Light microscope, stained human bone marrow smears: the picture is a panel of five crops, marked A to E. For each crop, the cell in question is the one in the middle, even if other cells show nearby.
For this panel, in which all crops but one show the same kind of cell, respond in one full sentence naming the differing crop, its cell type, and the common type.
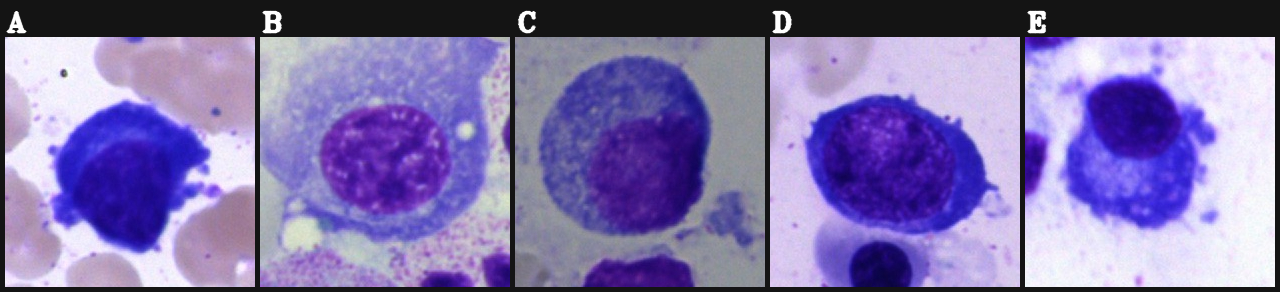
The pattern of plasma cells across the crops is broken only by crop D, which shows a proerythroblast.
